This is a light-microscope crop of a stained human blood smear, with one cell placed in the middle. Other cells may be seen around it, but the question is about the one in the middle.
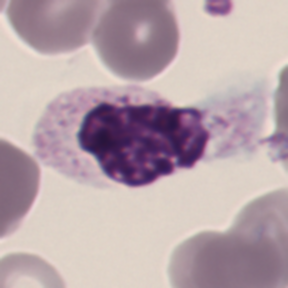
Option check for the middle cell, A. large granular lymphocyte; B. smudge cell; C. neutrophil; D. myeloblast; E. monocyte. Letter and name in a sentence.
As the central cell is a neutrophil, option C is correct.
